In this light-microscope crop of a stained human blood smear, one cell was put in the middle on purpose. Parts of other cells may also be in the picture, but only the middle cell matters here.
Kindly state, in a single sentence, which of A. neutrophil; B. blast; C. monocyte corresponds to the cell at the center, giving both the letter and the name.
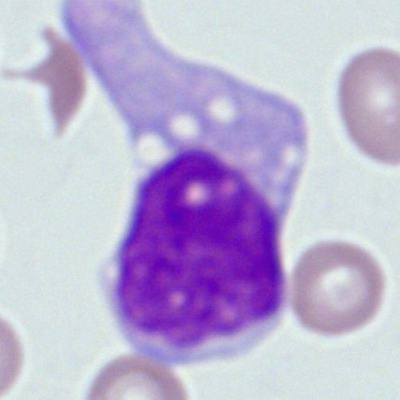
Located in the middle of the crop is a monocyte, and option C is therefore correct.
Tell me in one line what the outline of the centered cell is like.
Irregular and not smooth, the cell boundary is ragged or drawn out into projections.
